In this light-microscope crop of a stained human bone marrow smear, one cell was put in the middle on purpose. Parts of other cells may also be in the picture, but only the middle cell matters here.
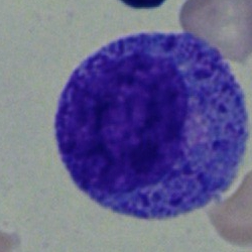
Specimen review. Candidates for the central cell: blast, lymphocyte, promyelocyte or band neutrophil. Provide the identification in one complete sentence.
The centrally positioned cell in the crop represents a promyelocyte.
